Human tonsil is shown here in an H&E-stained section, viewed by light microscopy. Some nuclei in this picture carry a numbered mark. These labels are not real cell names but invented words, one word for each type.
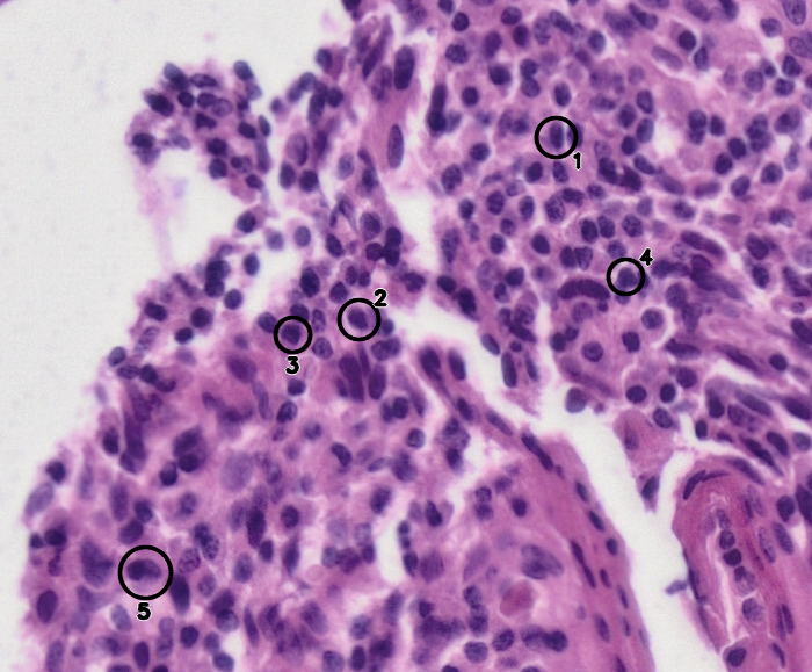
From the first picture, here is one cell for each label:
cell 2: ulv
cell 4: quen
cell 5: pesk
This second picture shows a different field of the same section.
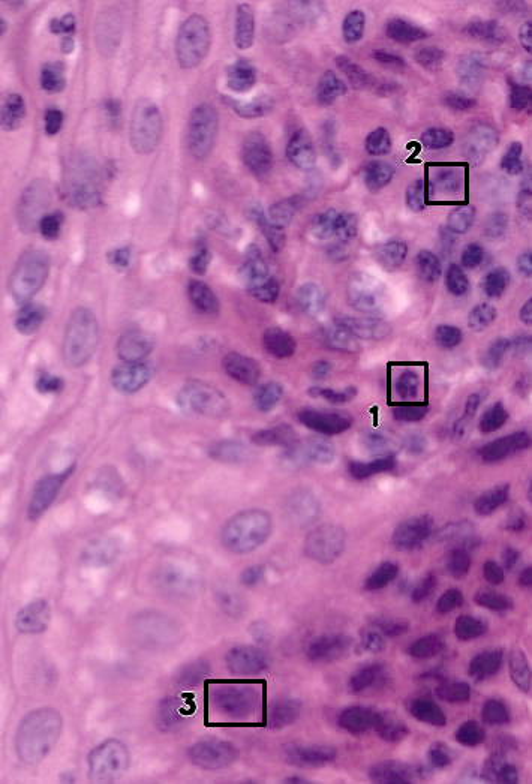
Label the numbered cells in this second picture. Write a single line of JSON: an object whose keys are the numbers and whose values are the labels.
{"1": "ulv", "2": "ulv", "3": "pesk"}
